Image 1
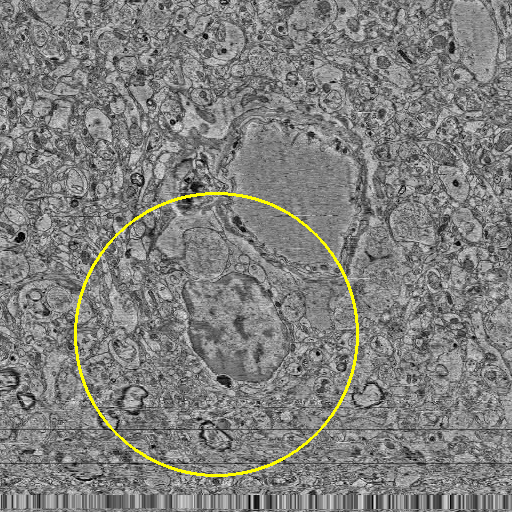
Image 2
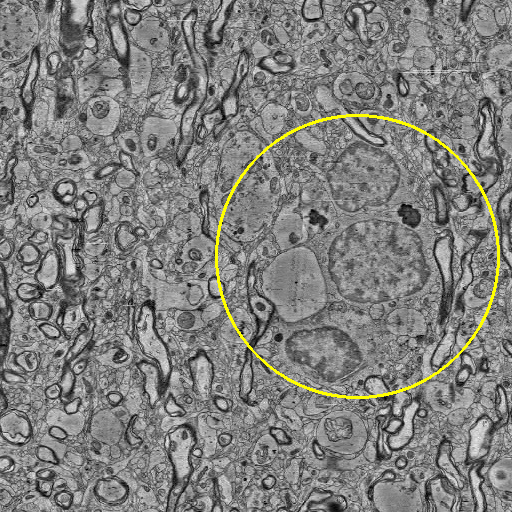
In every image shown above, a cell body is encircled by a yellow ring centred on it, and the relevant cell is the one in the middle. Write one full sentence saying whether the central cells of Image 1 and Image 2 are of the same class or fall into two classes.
The cell at the ring's centre in Image 1 and its counterpart in Image 2 fall into two classes.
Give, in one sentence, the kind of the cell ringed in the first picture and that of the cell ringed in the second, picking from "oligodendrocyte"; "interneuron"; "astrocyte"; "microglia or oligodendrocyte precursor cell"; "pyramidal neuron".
For the first picture it is a microglial cell or oligodendrocyte precursor cell; for the second, an oligodendrocyte.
